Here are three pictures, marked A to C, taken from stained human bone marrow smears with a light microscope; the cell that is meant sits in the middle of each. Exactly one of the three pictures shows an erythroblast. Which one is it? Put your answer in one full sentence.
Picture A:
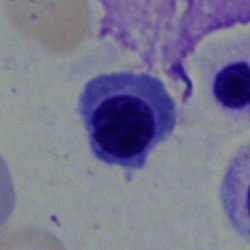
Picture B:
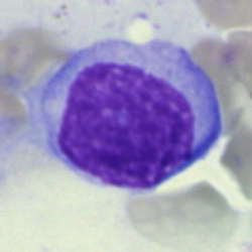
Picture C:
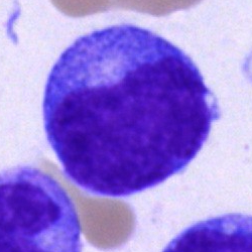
The cell in picture A is the erythroblast.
